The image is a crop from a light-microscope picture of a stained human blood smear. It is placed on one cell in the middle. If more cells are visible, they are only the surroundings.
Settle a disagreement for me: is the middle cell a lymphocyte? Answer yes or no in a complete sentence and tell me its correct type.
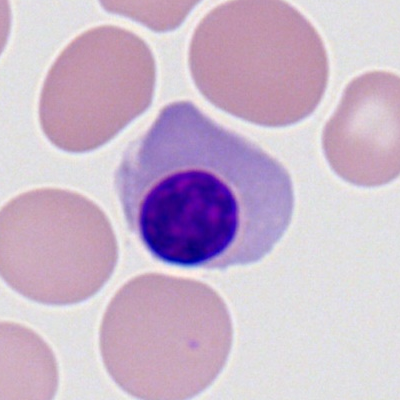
No, an erythroblast, not a lymphocyte, is what sits in the centre of the crop.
